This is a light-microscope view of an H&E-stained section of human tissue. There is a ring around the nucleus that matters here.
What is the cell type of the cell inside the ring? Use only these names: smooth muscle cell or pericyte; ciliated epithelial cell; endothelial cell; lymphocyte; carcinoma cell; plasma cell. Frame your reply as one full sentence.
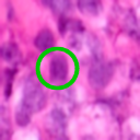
Among the cells in this section, the cell inside the ring is a ciliated epithelial cell.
